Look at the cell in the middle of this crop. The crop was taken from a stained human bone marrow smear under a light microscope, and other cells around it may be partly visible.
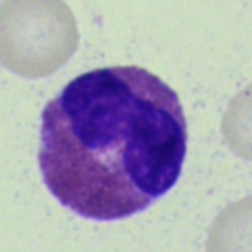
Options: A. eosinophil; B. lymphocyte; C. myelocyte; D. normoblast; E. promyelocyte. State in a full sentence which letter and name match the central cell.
The cell at the heart of the crop is an eosinophil, so choose option A.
